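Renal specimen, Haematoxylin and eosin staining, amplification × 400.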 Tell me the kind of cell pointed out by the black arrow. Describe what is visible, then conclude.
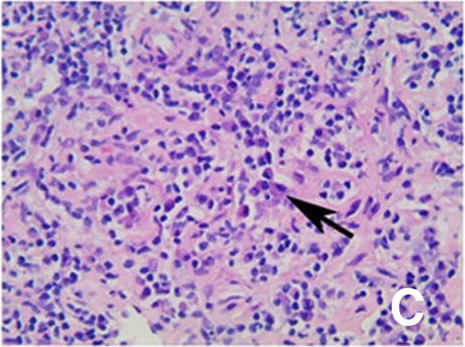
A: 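The arrow points to a cell with a dark, round nucleus set to one side of its cytoplasm. The cell lies among many small round cells with dark nuclei.
Conclusion: plasma cell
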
